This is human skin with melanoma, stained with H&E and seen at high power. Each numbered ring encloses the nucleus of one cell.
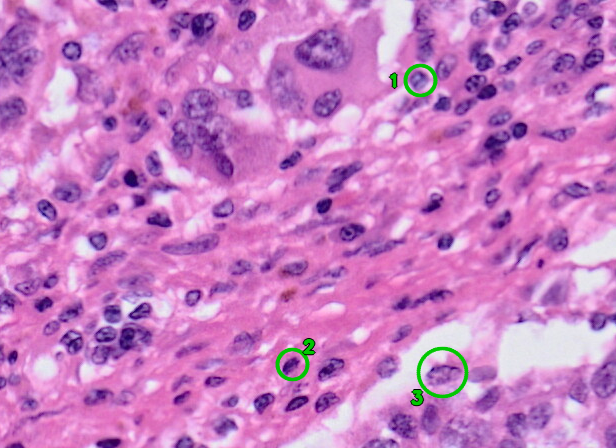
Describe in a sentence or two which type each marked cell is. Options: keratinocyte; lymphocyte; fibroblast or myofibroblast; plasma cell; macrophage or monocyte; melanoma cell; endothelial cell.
Cells 1 and 2 are lymphocytes. Cell 3 is a macrophage or monocyte.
